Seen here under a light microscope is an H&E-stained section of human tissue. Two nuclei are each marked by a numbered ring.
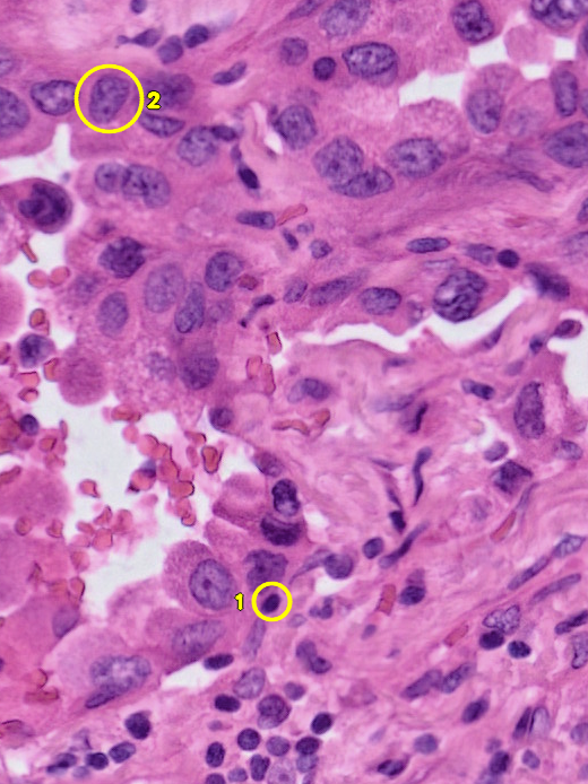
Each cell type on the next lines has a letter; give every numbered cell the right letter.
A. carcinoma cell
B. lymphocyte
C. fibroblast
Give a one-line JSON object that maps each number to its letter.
{"1": "B", "2": "A"}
